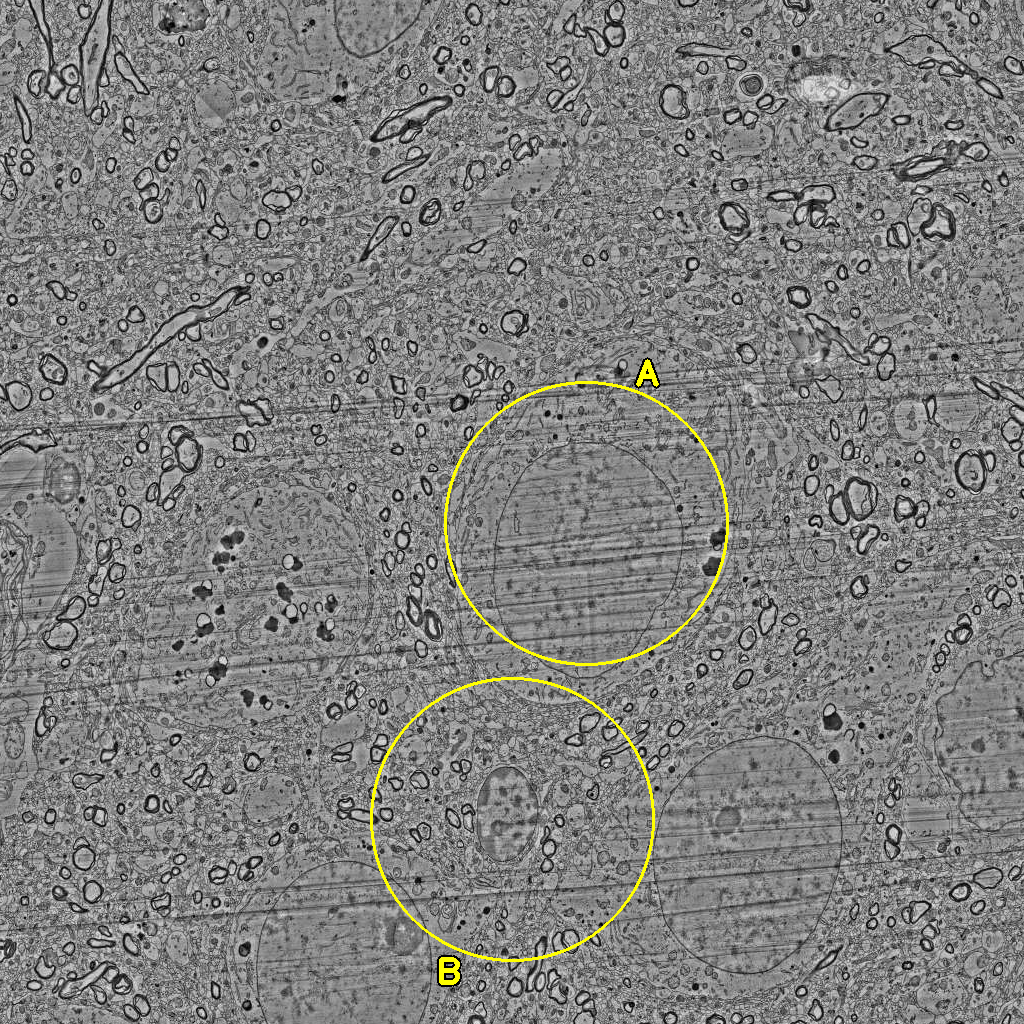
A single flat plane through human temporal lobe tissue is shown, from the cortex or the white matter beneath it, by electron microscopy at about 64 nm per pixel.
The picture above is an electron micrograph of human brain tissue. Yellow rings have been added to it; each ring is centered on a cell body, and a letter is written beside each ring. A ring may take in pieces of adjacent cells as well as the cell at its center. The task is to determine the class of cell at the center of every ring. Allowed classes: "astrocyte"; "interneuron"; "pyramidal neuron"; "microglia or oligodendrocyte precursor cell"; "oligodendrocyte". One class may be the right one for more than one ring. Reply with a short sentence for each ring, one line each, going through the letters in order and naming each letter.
Ring A is centered on a pyramidal neuron.
Ring B is centered on a microglial cell or oligodendrocyte precursor cell.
